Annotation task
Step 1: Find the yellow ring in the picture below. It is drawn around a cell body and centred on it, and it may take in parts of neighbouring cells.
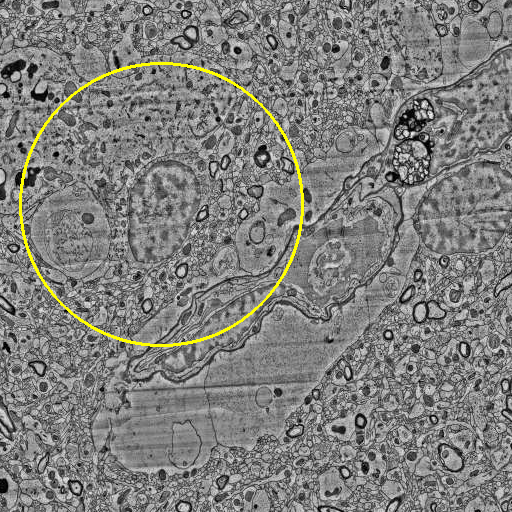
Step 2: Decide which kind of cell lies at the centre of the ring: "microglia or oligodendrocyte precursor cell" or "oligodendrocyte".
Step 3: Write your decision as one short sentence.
The kind of cell at the ring's centre is an oligodendrocyte.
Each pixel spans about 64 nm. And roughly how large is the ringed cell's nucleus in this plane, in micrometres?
In this plane, about 7 micrometres in length and 5 in width.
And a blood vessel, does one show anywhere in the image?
Yes, a blood vessel can be seen.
